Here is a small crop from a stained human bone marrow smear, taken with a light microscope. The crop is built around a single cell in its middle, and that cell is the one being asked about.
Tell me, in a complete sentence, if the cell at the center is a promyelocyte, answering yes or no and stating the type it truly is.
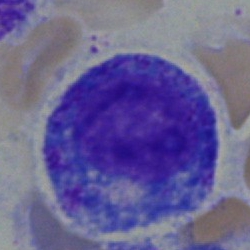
Yes, the centred cell is categorised as a promyelocyte.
